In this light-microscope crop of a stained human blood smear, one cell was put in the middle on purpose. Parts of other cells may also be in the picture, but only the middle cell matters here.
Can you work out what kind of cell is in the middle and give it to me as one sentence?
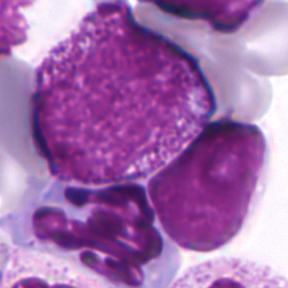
The cell at the heart of this crop is a myelocyte.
